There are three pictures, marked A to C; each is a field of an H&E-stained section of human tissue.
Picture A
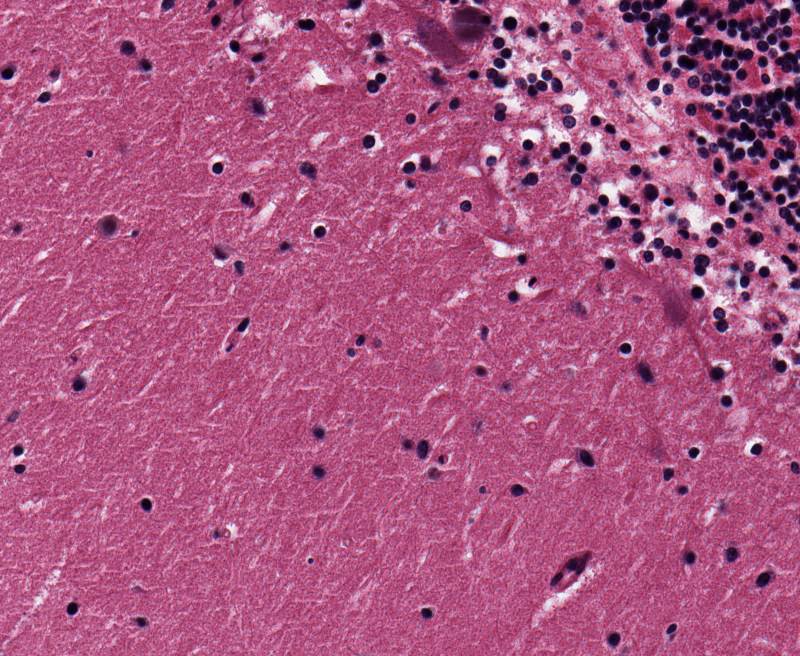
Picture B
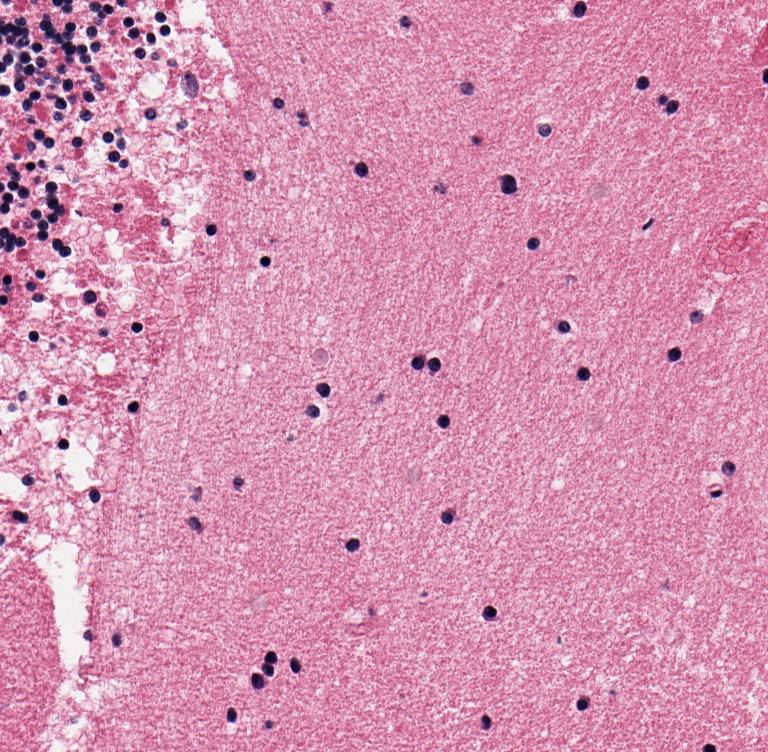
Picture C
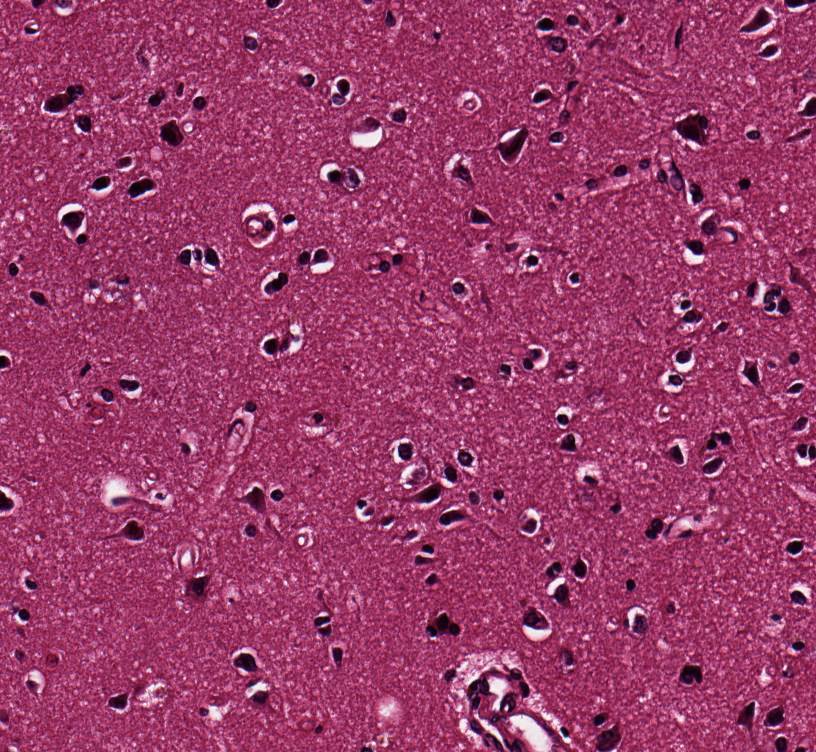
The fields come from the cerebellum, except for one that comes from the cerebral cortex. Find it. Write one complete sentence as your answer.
The one that comes from the cerebral cortex is picture C.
